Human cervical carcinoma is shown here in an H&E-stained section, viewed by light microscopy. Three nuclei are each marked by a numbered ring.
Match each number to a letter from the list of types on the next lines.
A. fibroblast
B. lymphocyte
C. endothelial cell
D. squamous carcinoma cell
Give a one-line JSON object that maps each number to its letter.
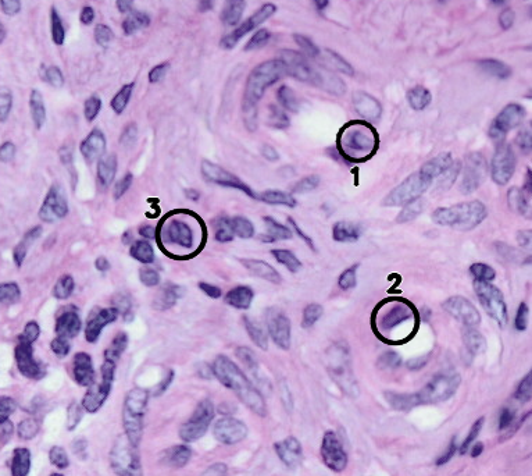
{"1": "C", "2": "C", "3": "B"}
